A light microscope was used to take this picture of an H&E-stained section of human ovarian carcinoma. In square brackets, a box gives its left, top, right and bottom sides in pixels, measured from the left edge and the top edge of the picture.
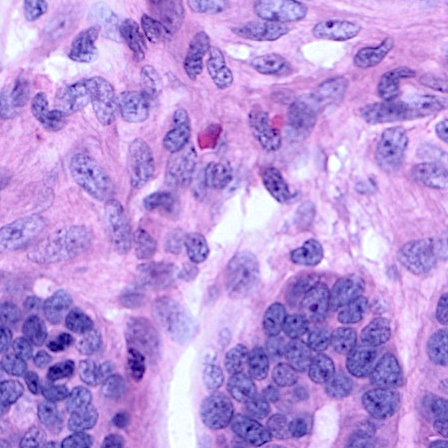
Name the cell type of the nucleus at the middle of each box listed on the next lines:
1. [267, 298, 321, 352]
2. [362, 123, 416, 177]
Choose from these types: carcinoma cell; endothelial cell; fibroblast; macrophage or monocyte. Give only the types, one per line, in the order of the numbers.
carcinoma cell
fibroblast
